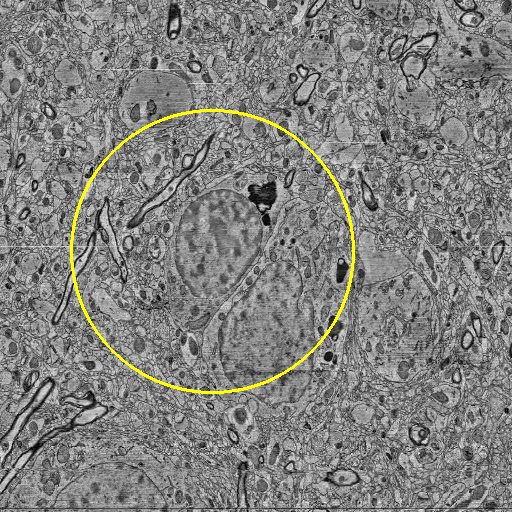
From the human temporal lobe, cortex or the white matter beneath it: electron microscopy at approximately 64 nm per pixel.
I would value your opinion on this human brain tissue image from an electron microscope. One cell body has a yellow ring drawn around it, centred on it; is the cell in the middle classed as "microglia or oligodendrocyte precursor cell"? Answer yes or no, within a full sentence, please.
No, I would class the cell in the middle of the ring as a different kind.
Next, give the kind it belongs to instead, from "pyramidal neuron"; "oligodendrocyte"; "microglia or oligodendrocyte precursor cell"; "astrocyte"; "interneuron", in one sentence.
That cell in the ring is an oligodendrocyte instead.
